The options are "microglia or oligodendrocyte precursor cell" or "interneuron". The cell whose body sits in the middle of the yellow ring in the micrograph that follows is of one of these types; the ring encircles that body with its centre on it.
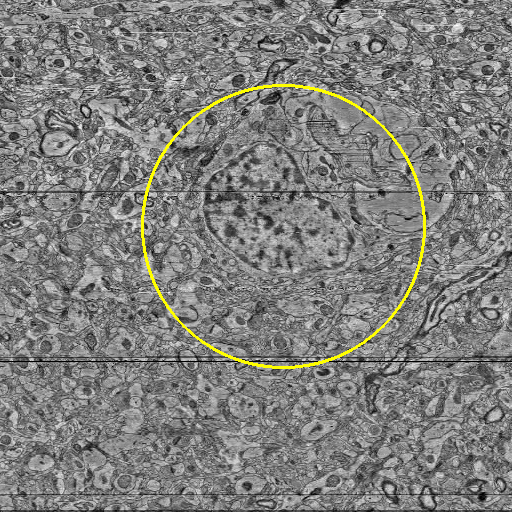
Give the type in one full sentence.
Going by the micrograph, the cell centred in the yellow ring is a microglial cell or oligodendrocyte precursor cell.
